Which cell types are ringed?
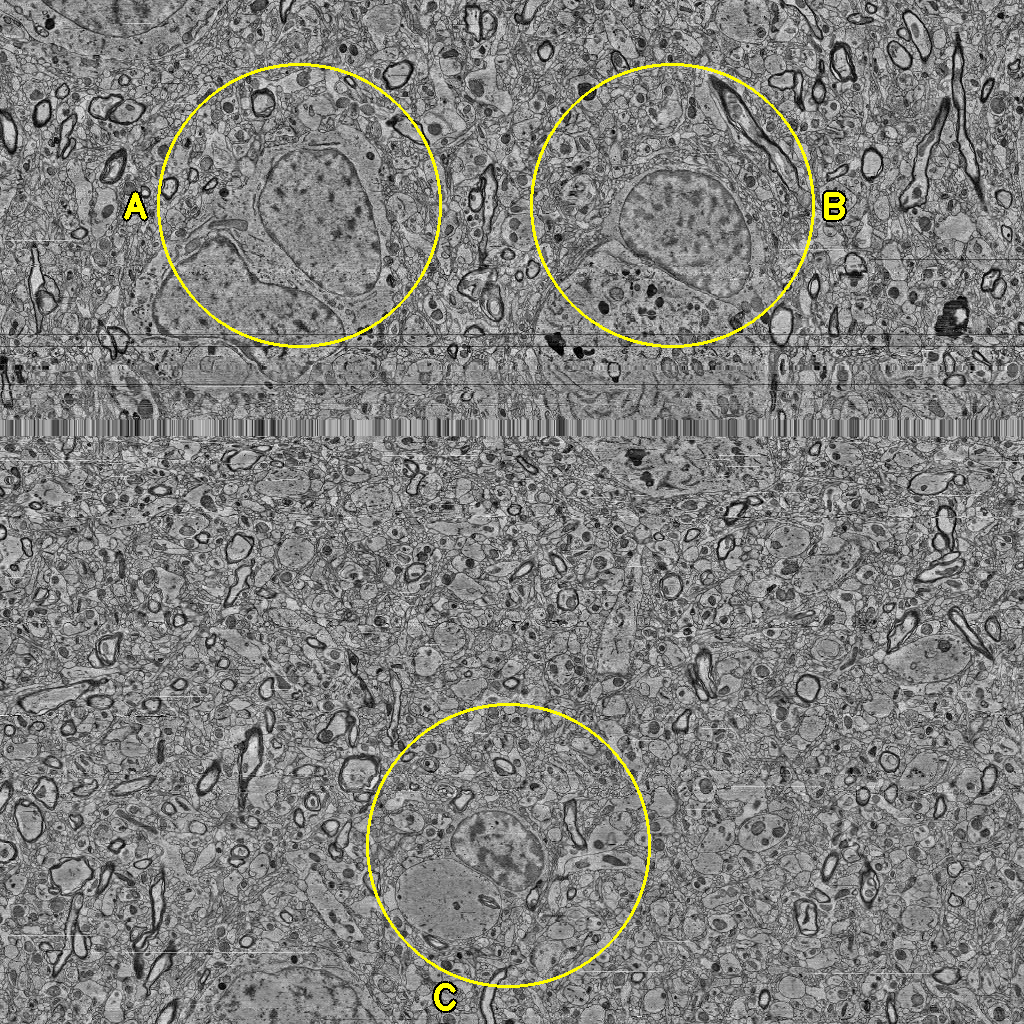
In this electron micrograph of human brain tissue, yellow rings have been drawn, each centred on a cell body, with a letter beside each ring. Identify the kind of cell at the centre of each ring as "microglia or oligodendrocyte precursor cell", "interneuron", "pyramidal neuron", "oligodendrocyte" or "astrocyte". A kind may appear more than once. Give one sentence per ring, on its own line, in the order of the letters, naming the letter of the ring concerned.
Ring A is drawn on a microglial cell or oligodendrocyte precursor cell.
Ring B is drawn on an oligodendrocyte.
Ring C is drawn on an oligodendrocyte.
